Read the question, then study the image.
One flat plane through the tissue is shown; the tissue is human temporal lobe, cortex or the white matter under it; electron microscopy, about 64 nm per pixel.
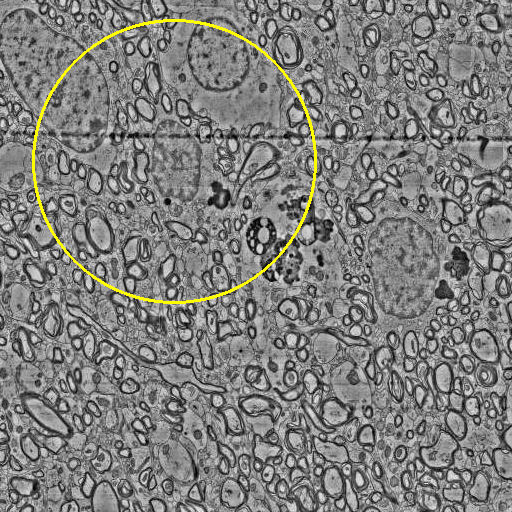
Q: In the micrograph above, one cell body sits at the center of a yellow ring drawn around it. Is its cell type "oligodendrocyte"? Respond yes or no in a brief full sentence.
Yes, its cell type is that one.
